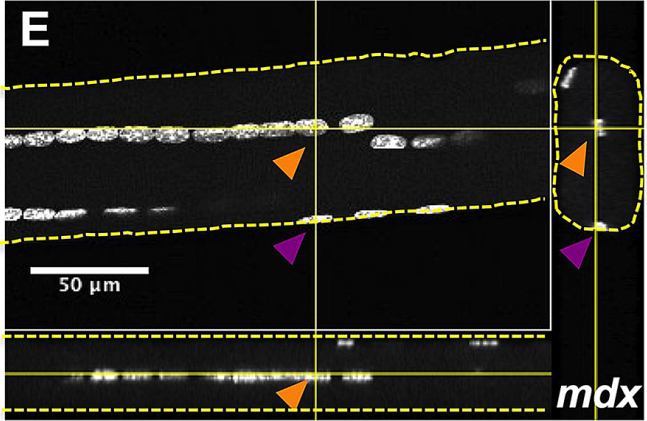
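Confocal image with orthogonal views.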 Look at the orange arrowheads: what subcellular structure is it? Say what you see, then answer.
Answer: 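Central nucleus. The marked nucleus lies within a long row of nuclei running along the middle of the fiber, away from the dashed outline. In the cross-sectional view the orange arrowhead points to a nucleus inside the fiber outline, not at its edge.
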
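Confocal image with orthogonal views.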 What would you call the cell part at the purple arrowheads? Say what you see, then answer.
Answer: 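Peripheral nucleus. The marked nucleus sits on the dashed line that outlines the fiber. In the cross-sectional view the purple arrowhead points to a nucleus at the rim of the outlined fiber.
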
